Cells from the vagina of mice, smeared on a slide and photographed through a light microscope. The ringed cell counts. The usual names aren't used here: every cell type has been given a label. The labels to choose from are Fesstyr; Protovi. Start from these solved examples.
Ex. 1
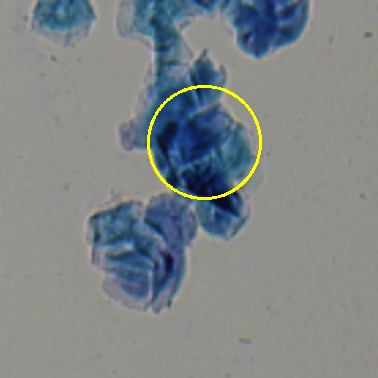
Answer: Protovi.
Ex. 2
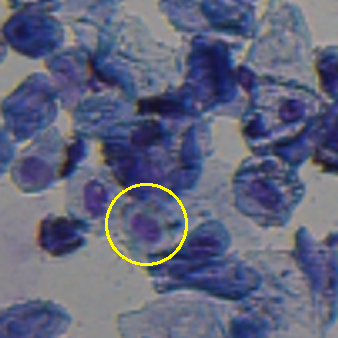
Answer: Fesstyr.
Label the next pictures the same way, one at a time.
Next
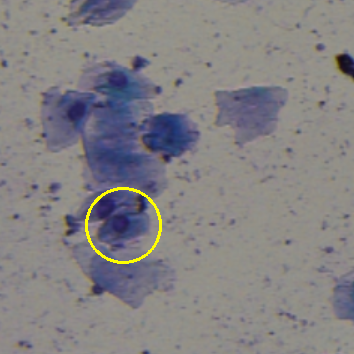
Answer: Fesstyr.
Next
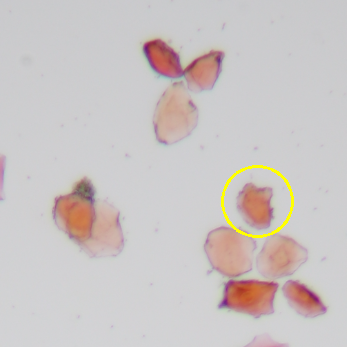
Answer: Protovi.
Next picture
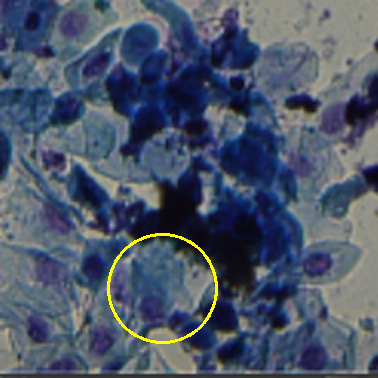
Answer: Fesstyr.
